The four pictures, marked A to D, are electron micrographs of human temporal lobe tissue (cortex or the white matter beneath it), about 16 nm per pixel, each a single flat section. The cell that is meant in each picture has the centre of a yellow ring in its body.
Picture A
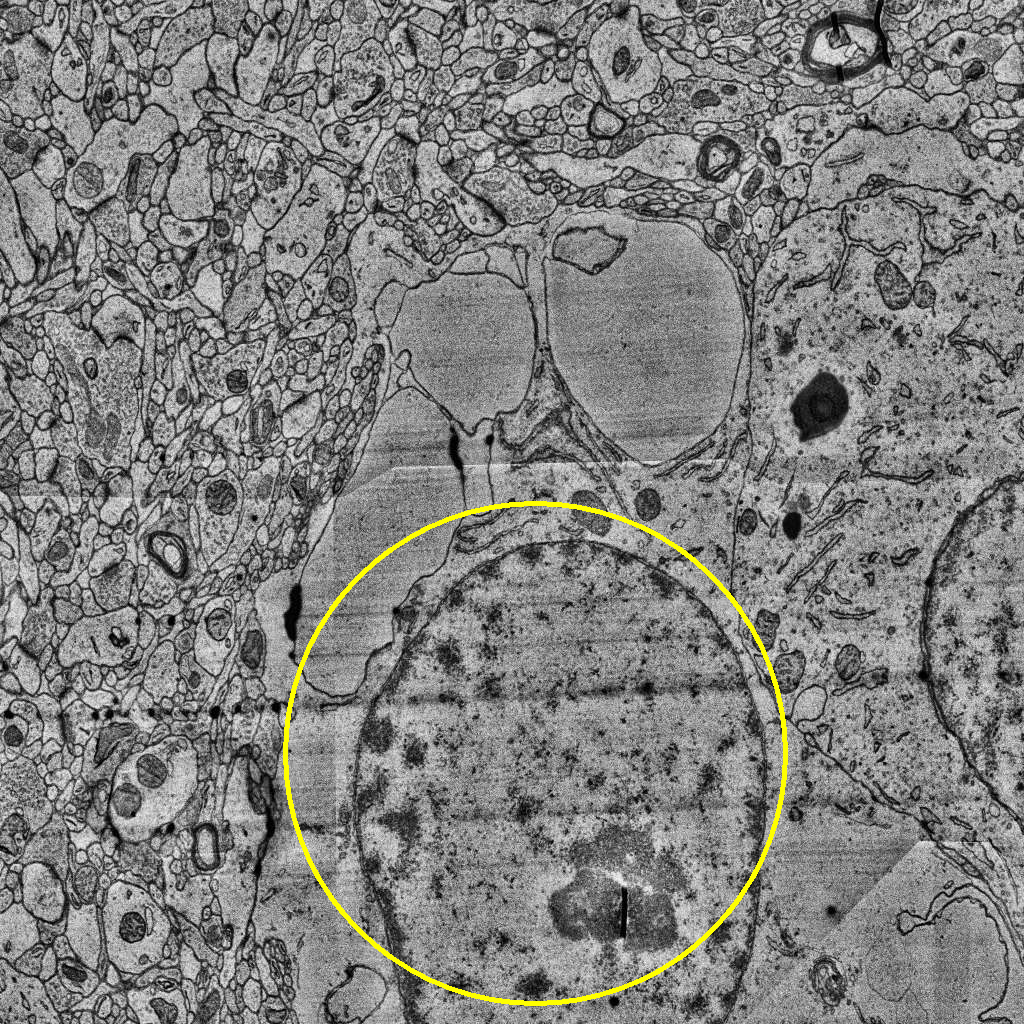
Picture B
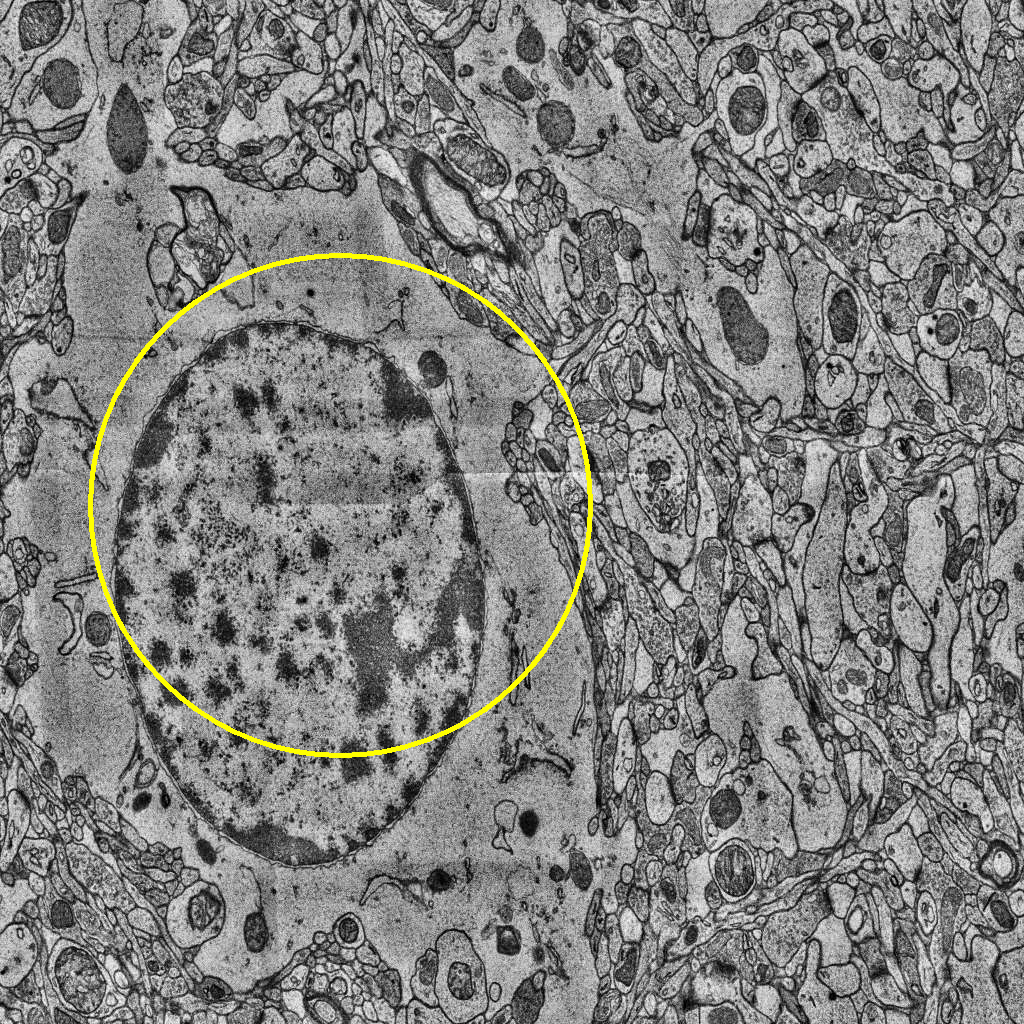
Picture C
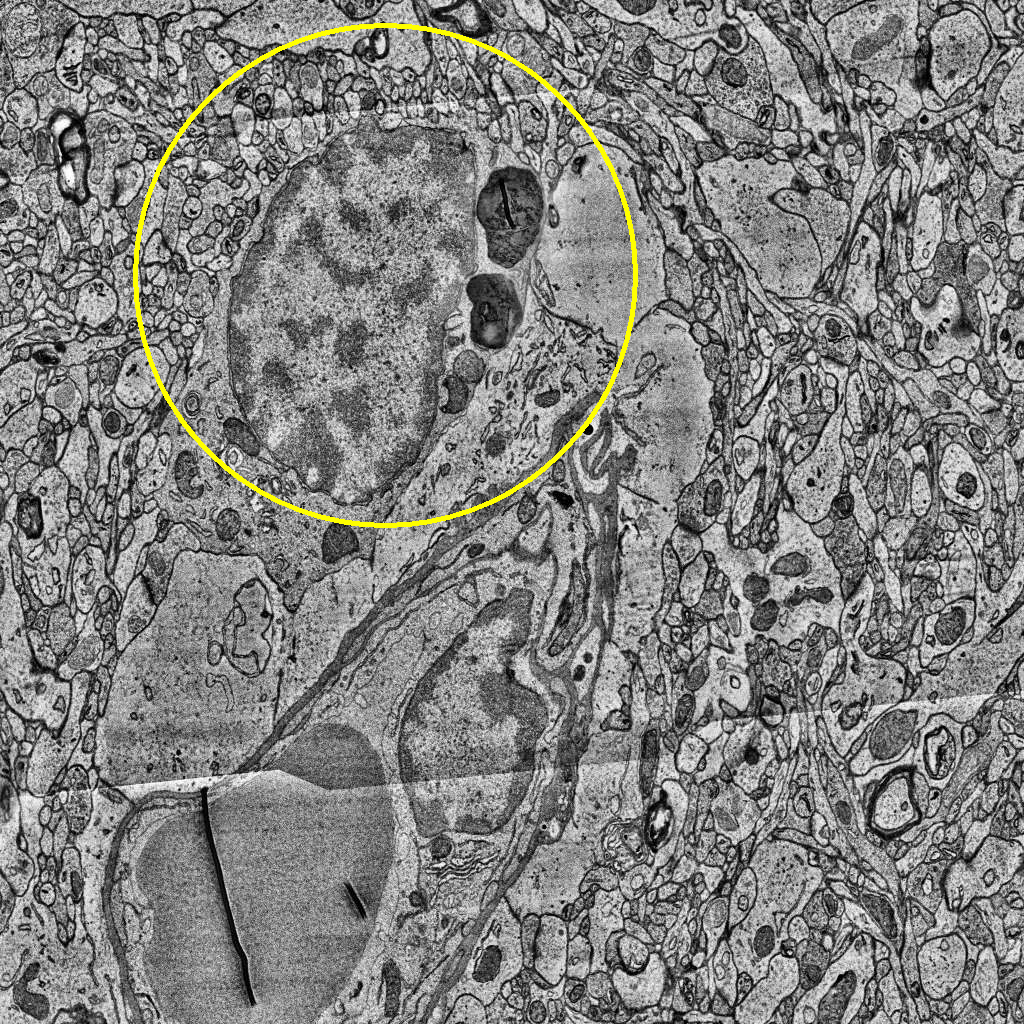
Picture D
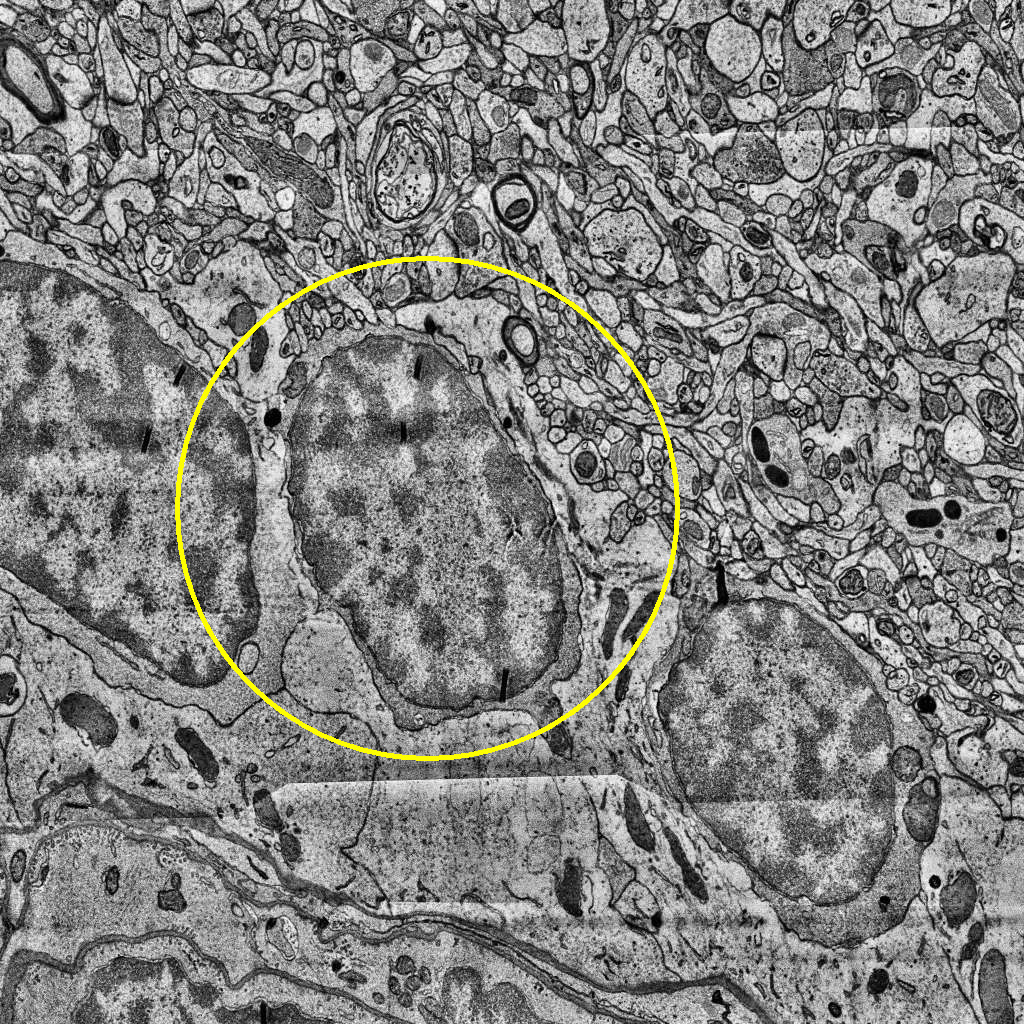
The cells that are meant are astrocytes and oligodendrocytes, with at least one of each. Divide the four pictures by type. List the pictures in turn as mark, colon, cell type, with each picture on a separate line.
A: astrocyte
B: astrocyte
C: oligodendrocyte
D: oligodendrocyte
